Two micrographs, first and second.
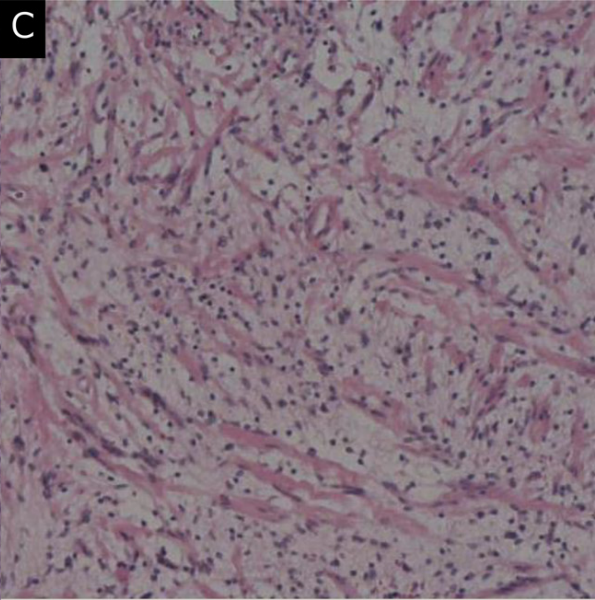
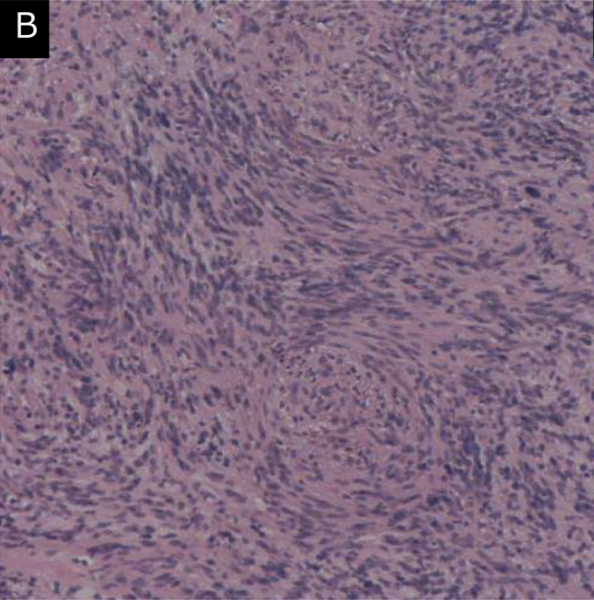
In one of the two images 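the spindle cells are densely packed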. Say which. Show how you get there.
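The second image. First image: cells sparse and widely spaced in pale loose matrix. Second image: elongated nuclei crowded together in fascicles with little space between.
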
